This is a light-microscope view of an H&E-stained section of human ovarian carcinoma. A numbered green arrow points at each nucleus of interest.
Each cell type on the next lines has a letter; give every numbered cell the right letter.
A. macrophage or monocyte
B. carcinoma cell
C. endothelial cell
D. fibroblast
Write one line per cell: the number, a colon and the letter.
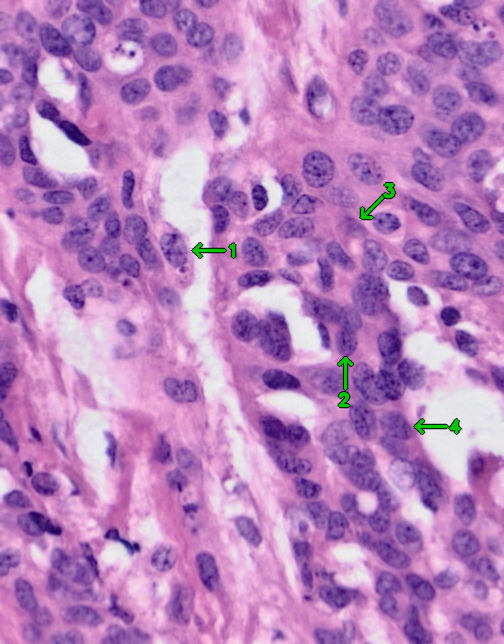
1: A
2: B
3: B
4: B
